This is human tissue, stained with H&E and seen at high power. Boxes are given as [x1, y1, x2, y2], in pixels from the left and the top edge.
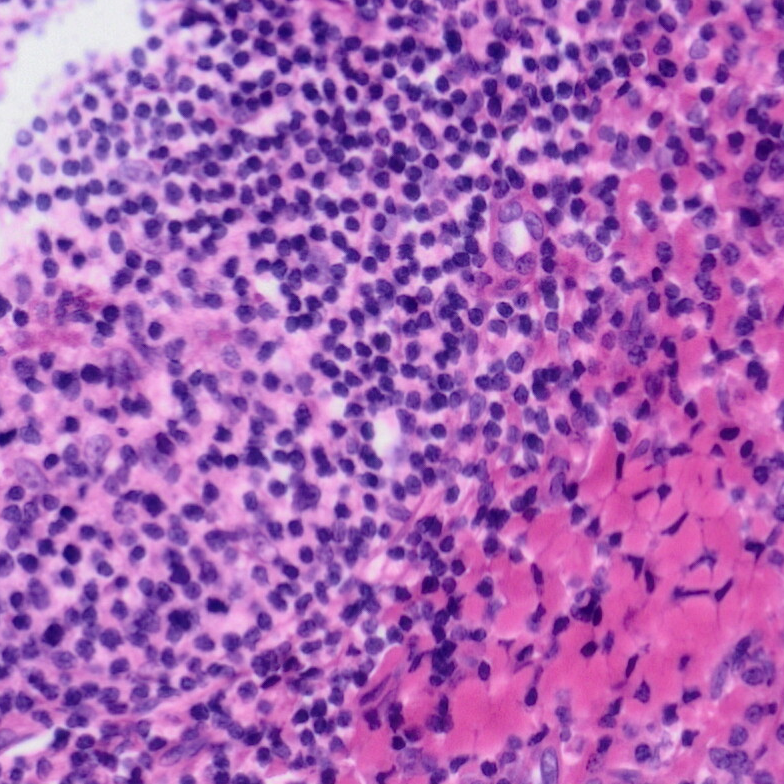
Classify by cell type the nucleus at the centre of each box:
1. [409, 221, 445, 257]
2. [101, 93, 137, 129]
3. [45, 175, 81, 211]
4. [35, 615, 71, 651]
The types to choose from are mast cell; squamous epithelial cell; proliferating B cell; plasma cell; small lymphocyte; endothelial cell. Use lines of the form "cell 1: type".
cell 1: small lymphocyte
cell 2: small lymphocyte
cell 3: small lymphocyte
cell 4: proliferating B cell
